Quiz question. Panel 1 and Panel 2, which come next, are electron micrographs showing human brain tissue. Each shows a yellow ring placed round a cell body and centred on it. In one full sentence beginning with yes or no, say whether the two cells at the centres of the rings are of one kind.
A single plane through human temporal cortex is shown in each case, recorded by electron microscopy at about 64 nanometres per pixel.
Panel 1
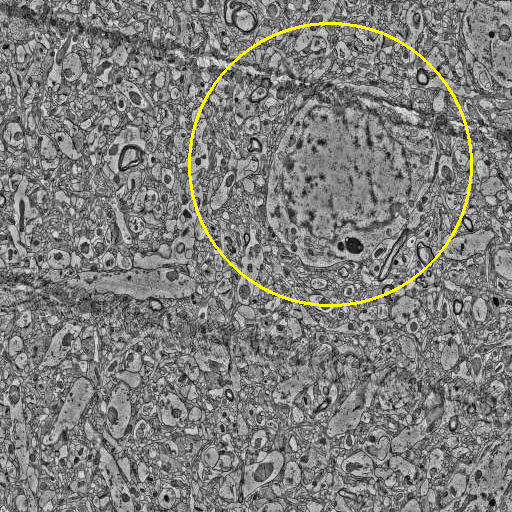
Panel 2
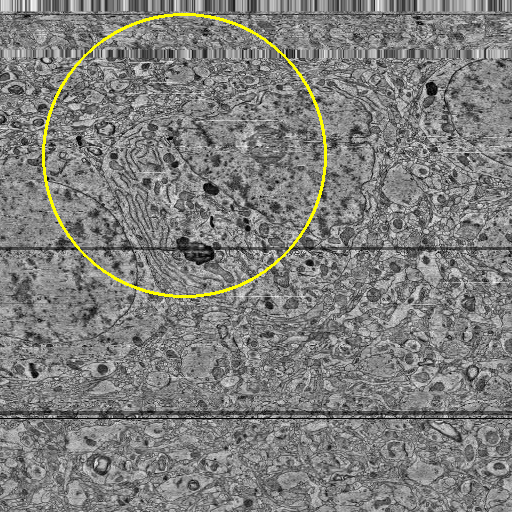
Yes, Panel 1 and Panel 2 show one kind of cell at the centre of the ring.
